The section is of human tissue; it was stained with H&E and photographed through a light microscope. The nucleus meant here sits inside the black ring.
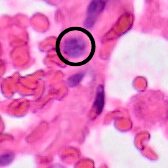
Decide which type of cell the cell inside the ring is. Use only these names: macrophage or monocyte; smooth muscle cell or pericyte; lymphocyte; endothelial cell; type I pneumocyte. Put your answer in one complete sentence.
This is a type I pneumocyte.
